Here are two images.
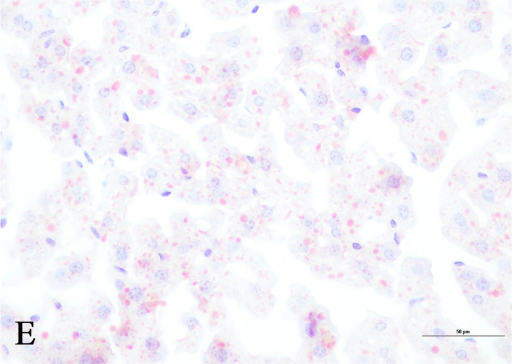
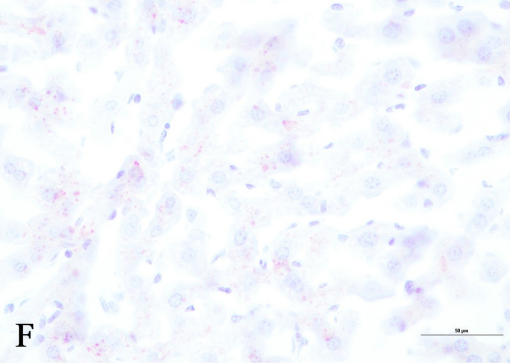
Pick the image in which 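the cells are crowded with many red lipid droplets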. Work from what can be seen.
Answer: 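The first image. Second image: only few small scattered red dots in pale cytoplasm. First image: numerous red droplets of varying size throughout the cytoplasm.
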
